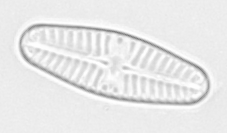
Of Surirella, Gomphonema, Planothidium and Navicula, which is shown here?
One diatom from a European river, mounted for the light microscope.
Planothidium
